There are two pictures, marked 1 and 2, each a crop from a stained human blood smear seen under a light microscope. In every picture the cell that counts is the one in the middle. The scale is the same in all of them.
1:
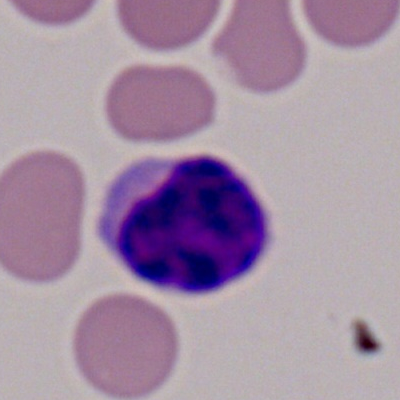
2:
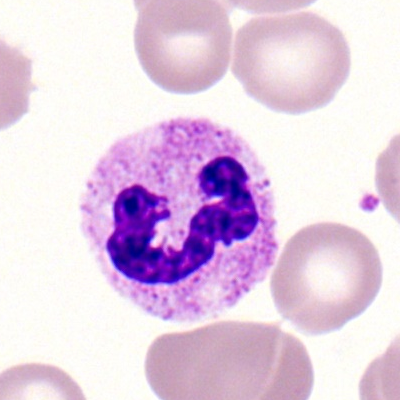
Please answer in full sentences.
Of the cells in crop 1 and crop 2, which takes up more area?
Larger is the cell in crop 2, at roughly 1.5 times the area of the other.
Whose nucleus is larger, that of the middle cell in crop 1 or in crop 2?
Crop 1 shows the larger nucleus; it covers about 1.5 times the area of the nucleus in crop 2.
